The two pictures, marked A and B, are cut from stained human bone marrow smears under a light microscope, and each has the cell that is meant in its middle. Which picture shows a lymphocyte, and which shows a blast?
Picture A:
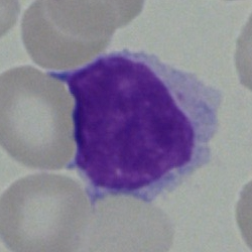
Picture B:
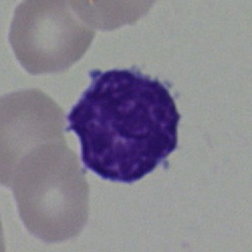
A: lymphocyte
B: blast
